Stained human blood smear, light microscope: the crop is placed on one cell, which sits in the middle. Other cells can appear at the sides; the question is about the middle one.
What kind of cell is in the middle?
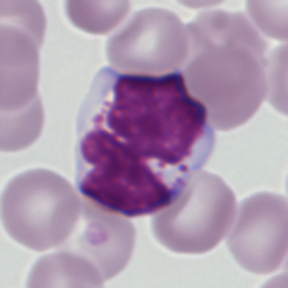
large granular lymphocyte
